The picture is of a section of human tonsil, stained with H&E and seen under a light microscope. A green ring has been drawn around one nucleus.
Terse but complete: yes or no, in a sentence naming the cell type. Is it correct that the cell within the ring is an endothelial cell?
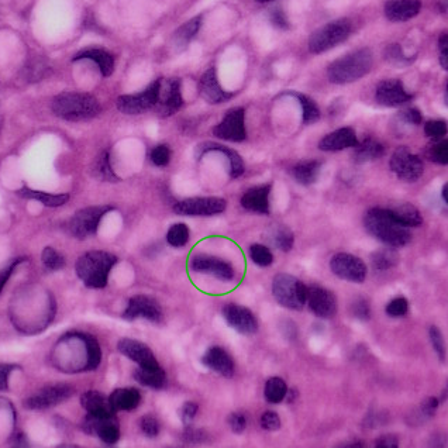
No, within this section, the cell within the ring is categorized as a squamous epithelial cell rather than an endothelial cell.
